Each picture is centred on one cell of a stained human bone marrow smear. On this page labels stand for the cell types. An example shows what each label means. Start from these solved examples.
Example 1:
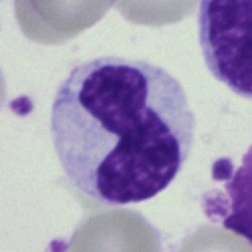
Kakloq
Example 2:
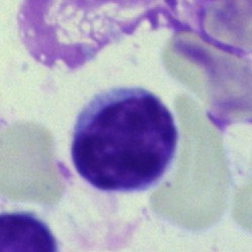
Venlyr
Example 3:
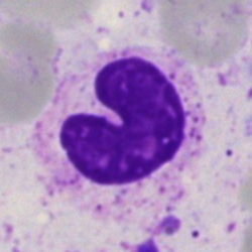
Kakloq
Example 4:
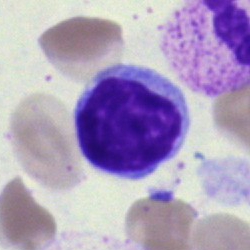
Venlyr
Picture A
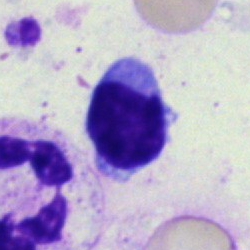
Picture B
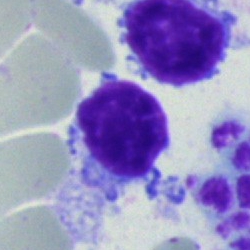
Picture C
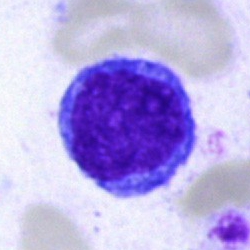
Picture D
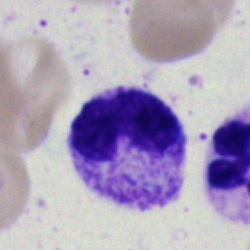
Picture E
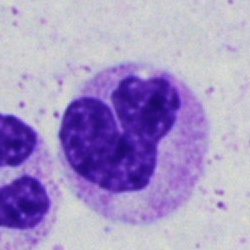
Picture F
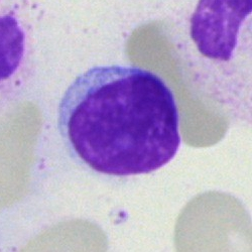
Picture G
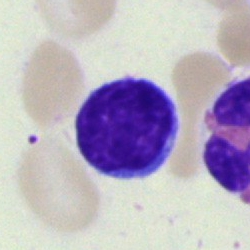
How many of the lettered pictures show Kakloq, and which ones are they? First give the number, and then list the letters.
2, namely D, E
